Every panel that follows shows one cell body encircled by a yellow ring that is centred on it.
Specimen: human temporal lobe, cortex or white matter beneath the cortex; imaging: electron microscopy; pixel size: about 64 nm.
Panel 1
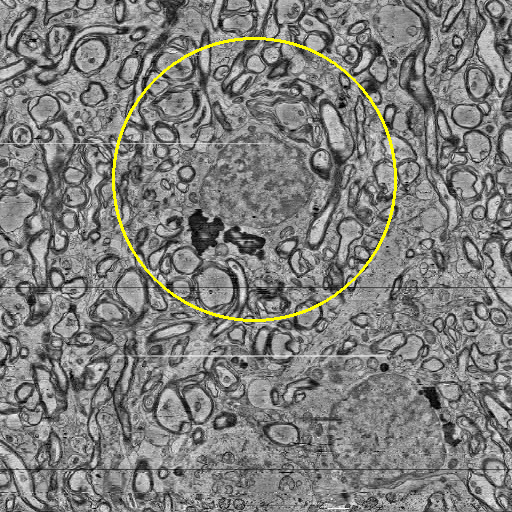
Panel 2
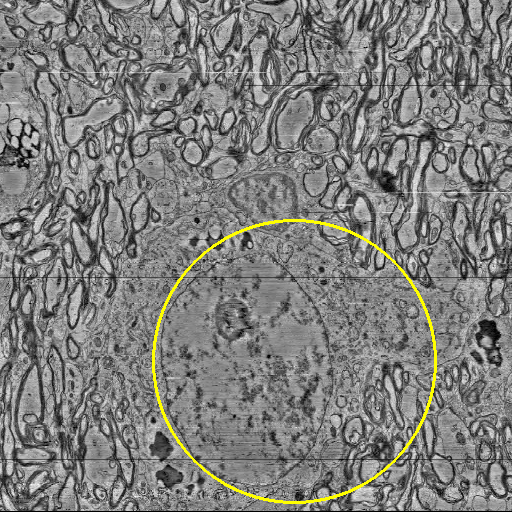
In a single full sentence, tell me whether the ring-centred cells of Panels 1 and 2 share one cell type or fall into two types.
In Panel 1 and Panel 2, the cells at the ring centres fall into two types.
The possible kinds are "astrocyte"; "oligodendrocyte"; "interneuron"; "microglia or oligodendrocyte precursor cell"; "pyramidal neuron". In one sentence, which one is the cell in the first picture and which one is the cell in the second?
The cell ringed in the second picture is a pyramidal neuron, whereas the one ringed in the first is an oligodendrocyte.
